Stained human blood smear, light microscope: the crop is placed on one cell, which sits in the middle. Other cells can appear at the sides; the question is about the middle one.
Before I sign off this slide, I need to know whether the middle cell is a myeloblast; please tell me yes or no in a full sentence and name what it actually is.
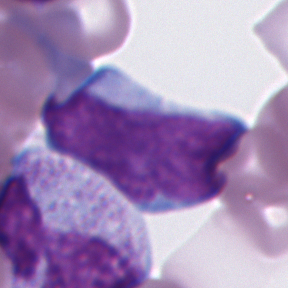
Yes, the central cell here is a myeloblast.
